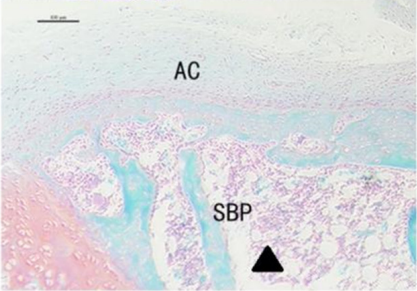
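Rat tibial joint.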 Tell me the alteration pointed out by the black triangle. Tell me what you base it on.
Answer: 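Around the triangle, wide marrow spaces lie between few, thin bony trabeculae. On this evidence: increased trabecular space.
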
